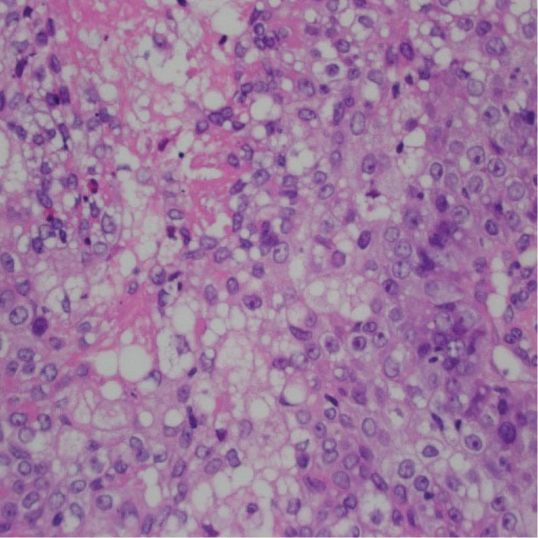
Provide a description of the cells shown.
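Tumor cells at high power, many with abundant pale, foamy cytoplasm holding multiple clear vacuoles of varying size. Nuclei are round to oval with open chromatin and visible nucleoli. Scattered cells with denser purple cytoplasm and darker nuclei lie between the vacuolated cells.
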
